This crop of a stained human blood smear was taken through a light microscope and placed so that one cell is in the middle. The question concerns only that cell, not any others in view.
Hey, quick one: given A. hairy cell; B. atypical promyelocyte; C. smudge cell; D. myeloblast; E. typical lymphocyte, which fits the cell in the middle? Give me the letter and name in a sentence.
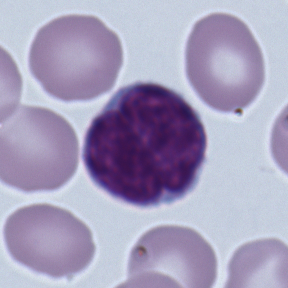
The centrally positioned cell is a typical lymphocyte, consistent with option E, which is correct.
